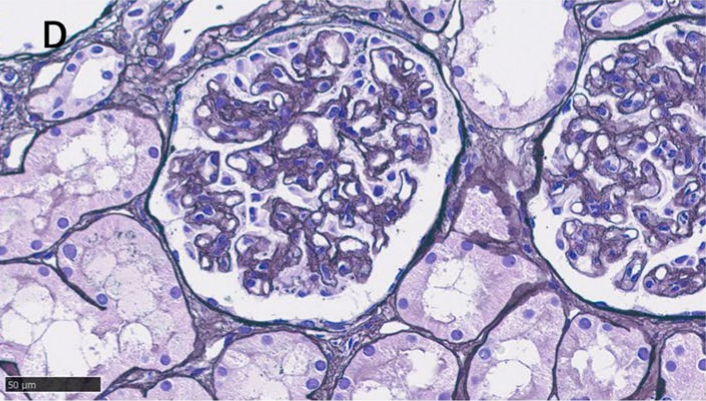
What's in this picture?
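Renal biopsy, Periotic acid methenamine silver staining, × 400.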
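Kidney cortex with glomeruli in which the basement membranes of the capillary loops, Bowman's capsule and the surrounding tubules are outlined in black. The tubular cells around them have pale, foamy cytoplasm with blue nuclei.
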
